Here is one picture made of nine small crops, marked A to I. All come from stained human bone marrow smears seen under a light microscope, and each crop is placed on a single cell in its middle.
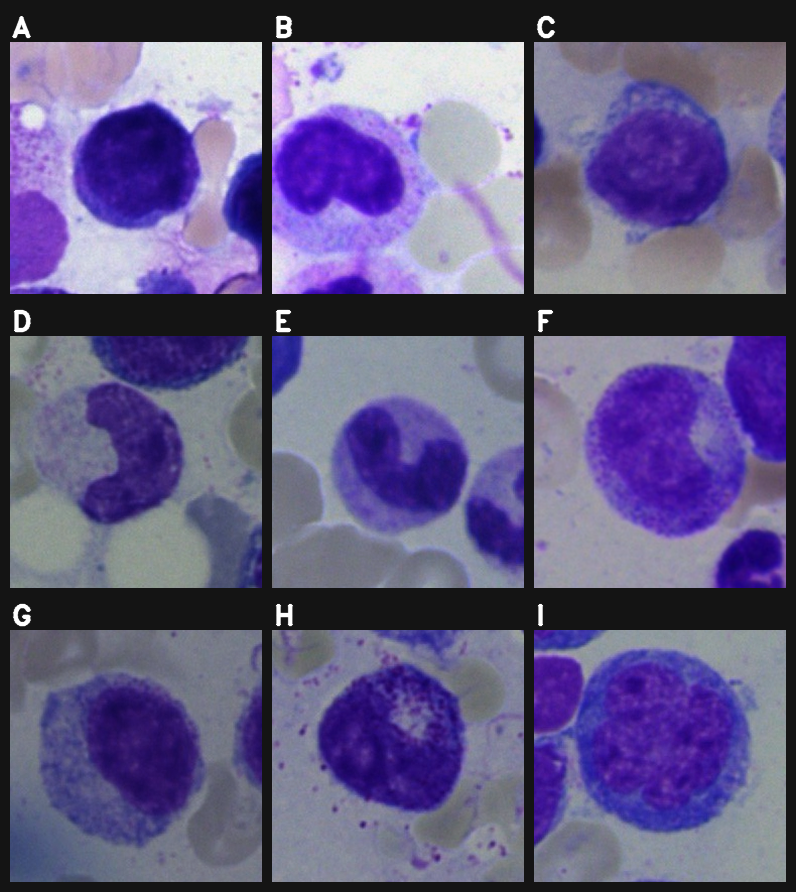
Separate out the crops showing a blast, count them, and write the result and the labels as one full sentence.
The blasts are found in three crops, namely A, C and I.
